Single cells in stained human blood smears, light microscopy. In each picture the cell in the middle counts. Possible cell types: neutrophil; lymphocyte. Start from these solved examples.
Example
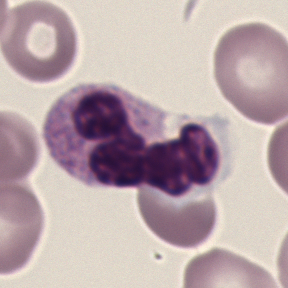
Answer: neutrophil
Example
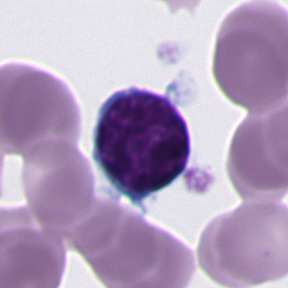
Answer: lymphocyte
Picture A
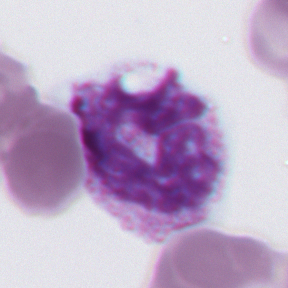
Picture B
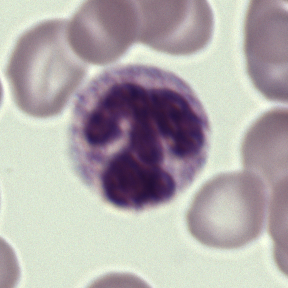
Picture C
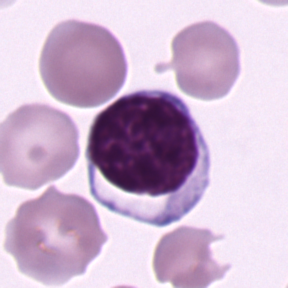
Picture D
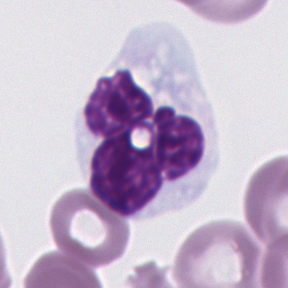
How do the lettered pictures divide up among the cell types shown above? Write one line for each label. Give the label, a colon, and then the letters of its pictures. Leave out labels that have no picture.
neutrophil: A, B, D
lymphocyte: C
